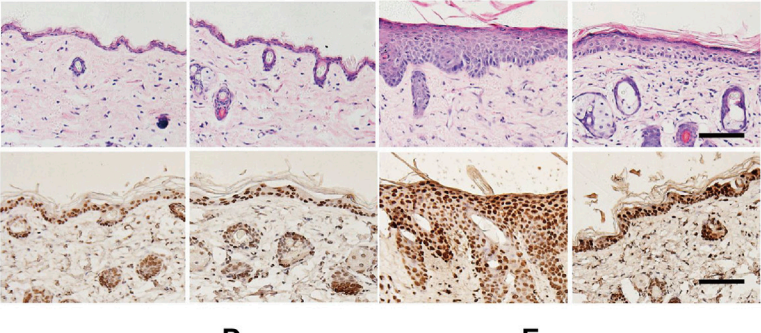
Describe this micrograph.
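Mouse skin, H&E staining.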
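The top row is stained pink and purple and the bottom row shows brown nuclear staining. The epidermis is only a few cells thick in the first two images. In the third image it is markedly thickened, with many stacked cell layers and a heavier surface keratin layer. In the fourth image it is of intermediate thickness, and the brown staining is densest in the thickened epidermis of the third image.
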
